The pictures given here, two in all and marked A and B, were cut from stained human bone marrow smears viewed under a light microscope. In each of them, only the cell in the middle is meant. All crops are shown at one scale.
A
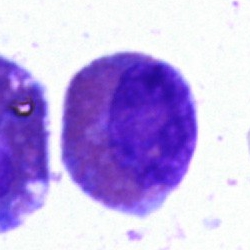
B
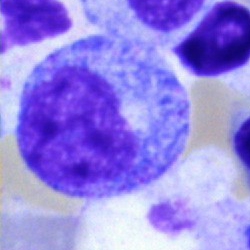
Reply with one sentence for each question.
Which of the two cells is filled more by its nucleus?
Of the two, the nucleus in crop B makes up the greater part of its cell.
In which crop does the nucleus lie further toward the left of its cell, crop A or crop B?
The nucleus in crop B lies further toward the left of its cell.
